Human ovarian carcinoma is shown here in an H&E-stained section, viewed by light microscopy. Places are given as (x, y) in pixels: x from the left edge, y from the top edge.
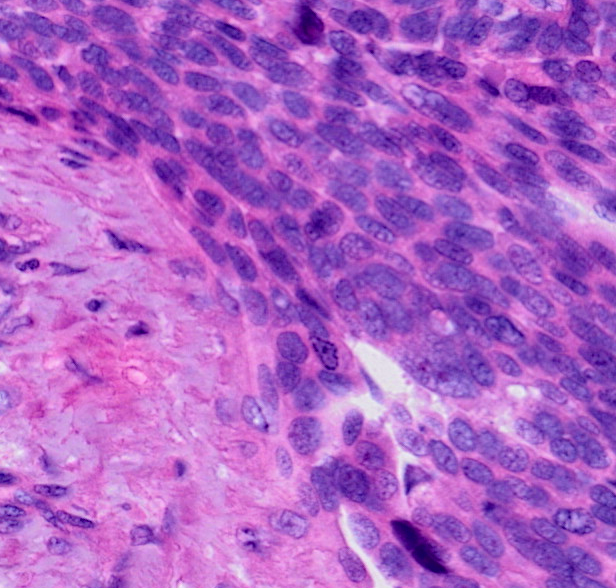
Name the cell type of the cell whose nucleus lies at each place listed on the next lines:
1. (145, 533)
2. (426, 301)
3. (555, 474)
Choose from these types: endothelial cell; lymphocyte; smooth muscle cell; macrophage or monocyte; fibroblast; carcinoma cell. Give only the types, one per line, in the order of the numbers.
fibroblast
carcinoma cell
carcinoma cell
